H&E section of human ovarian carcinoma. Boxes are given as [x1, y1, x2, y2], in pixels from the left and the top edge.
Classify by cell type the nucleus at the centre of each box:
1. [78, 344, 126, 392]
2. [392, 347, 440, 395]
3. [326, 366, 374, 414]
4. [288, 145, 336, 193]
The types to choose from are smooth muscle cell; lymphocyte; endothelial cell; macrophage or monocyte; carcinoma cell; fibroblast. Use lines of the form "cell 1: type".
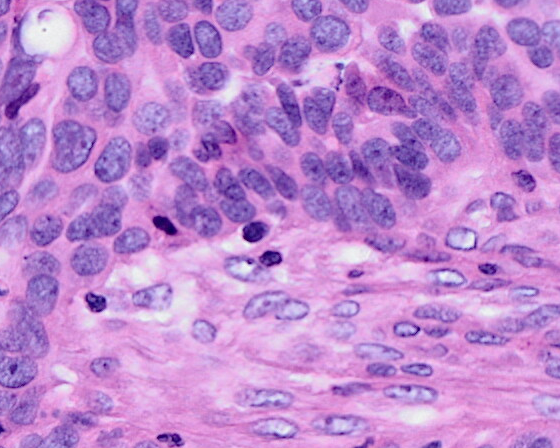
cell 1: fibroblast
cell 2: fibroblast
cell 3: fibroblast
cell 4: carcinoma cell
